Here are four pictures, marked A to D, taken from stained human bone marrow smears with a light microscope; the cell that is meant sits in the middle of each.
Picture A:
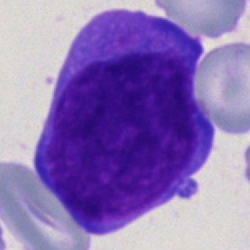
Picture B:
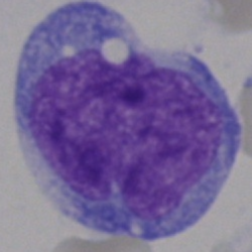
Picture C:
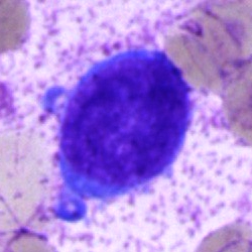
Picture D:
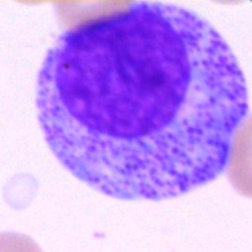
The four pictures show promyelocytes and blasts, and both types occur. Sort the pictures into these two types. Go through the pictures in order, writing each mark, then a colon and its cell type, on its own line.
A: blast
B: blast
C: blast
D: promyelocyte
